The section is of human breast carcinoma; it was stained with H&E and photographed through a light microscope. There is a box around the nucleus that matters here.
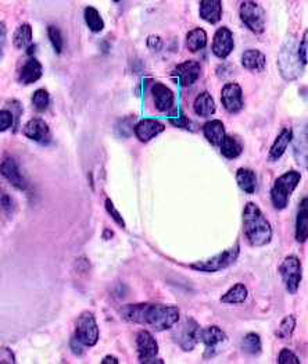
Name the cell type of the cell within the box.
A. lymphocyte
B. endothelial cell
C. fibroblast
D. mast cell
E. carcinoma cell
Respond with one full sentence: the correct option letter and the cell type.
Answer with option A; the cell within the box is a lymphocyte.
